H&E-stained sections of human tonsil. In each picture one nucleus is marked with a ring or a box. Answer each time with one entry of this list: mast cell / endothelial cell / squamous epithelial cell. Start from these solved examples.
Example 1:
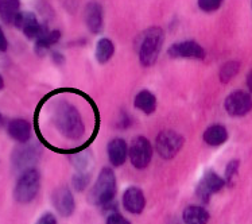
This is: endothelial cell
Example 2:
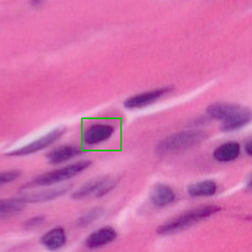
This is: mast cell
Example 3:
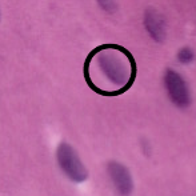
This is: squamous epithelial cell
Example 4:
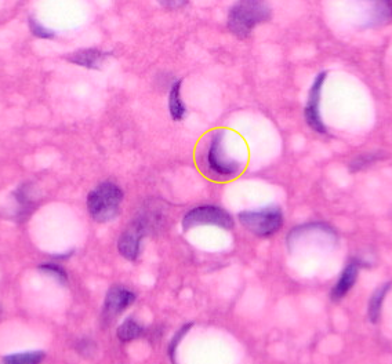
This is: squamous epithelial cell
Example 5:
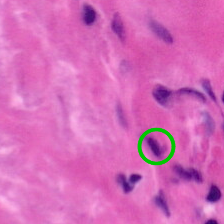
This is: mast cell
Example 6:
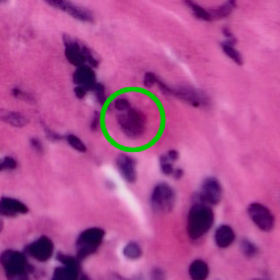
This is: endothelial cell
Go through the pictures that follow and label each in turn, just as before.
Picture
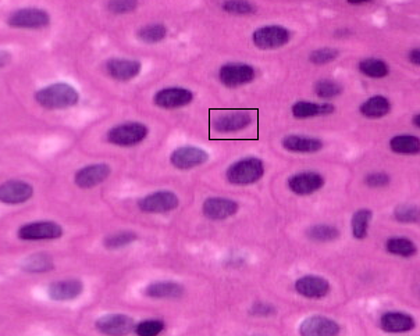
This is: squamous epithelial cell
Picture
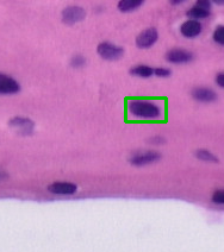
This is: squamous epithelial cell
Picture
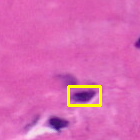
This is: mast cell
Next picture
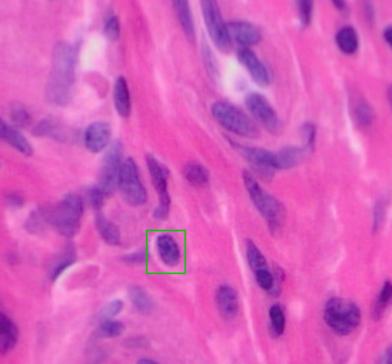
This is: mast cell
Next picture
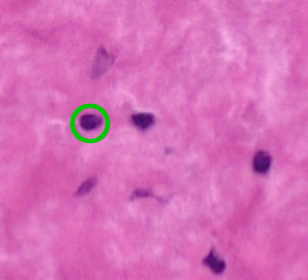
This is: mast cell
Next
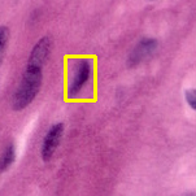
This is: squamous epithelial cell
